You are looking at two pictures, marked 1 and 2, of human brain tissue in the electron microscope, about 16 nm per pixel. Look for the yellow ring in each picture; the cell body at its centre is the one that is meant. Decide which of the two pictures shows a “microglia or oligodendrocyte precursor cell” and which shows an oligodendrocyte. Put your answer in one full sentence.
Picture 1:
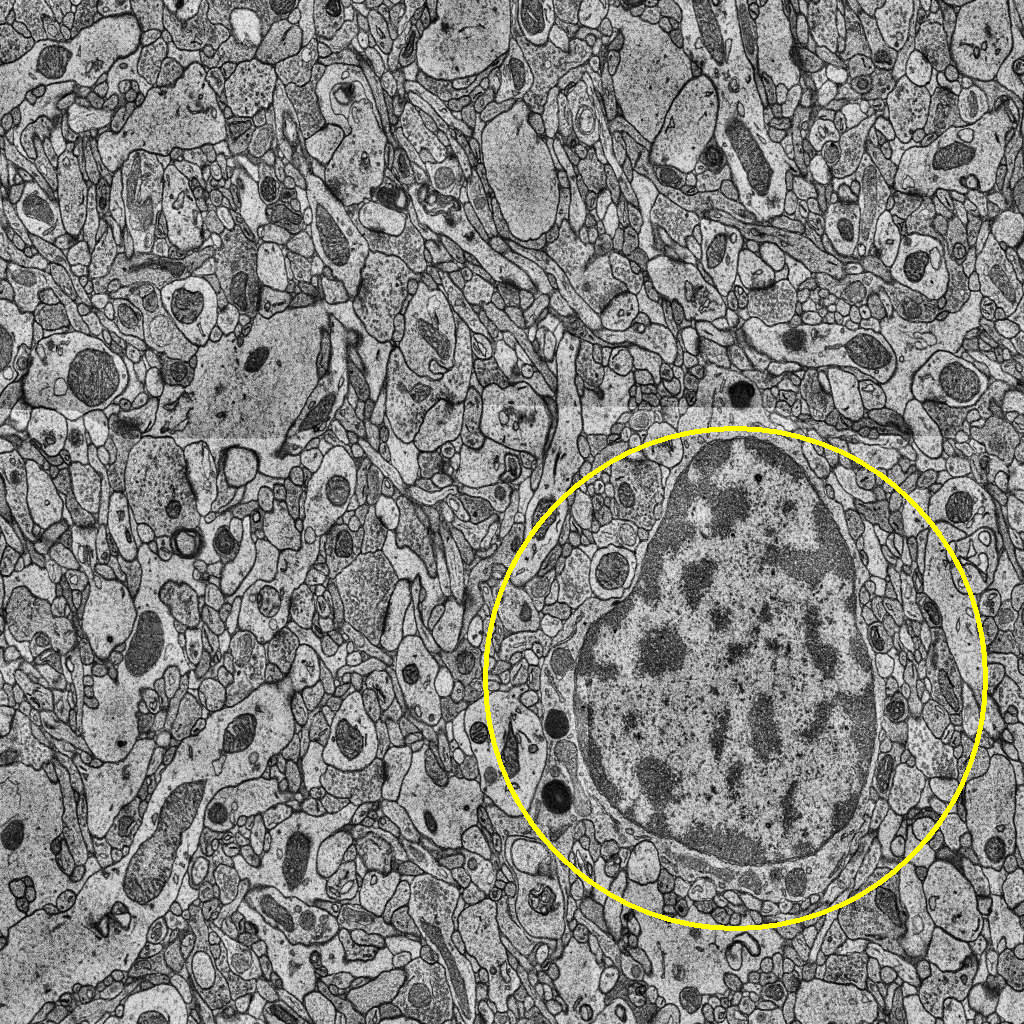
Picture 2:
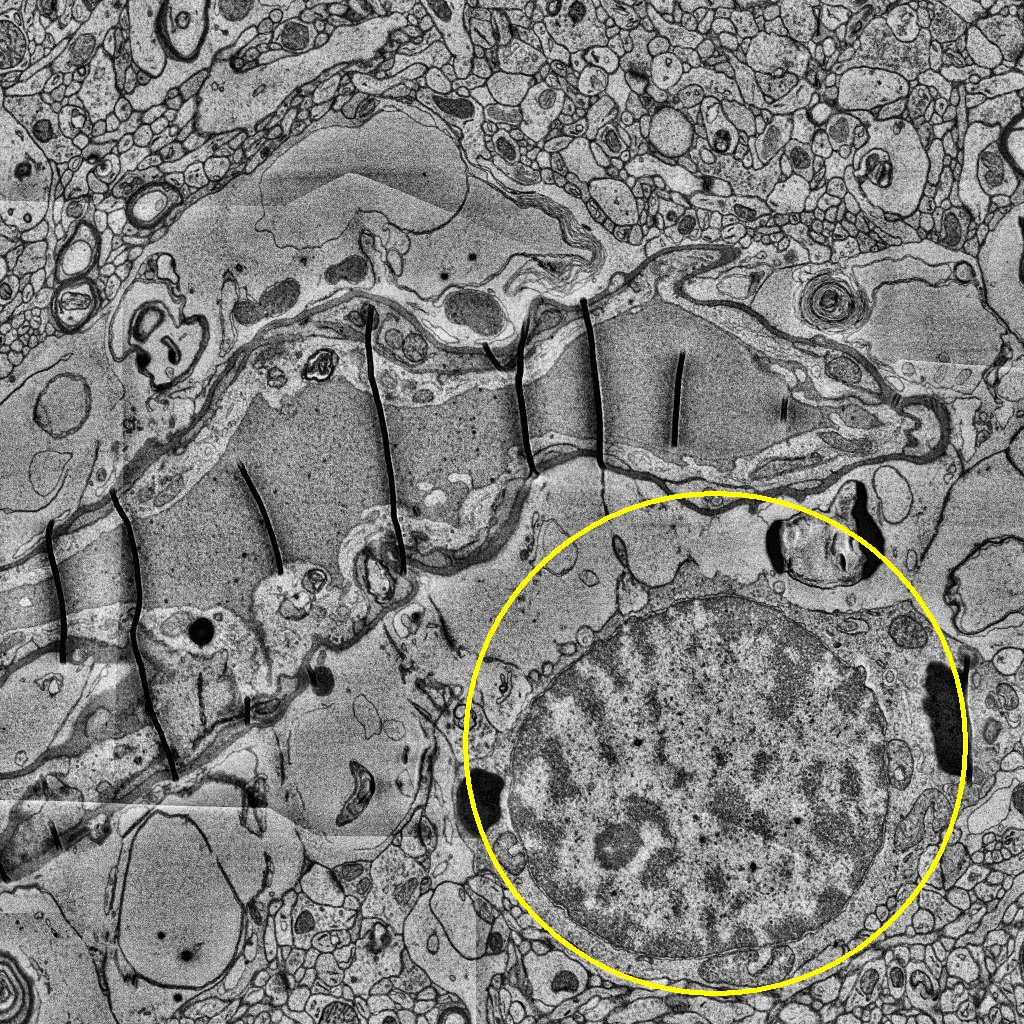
In picture 1 the cell is a “microglia or oligodendrocyte precursor cell”; in picture 2, an oligodendrocyte.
